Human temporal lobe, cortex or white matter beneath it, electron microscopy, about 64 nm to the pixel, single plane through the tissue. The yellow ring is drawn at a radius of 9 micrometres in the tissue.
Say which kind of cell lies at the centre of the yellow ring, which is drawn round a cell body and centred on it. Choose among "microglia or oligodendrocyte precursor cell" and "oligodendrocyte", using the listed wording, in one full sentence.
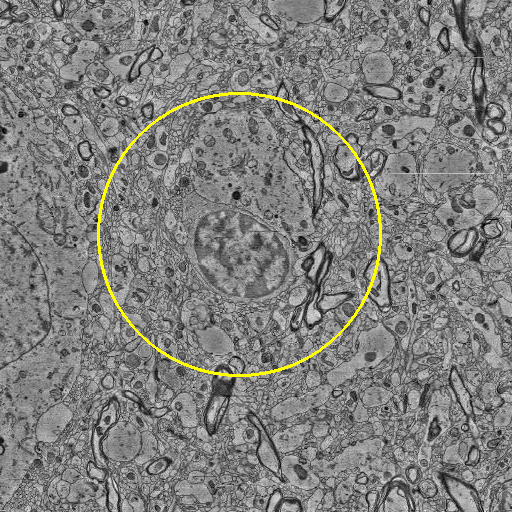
Going by the list, the cell at the yellow ring's centre is an oligodendrocyte.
